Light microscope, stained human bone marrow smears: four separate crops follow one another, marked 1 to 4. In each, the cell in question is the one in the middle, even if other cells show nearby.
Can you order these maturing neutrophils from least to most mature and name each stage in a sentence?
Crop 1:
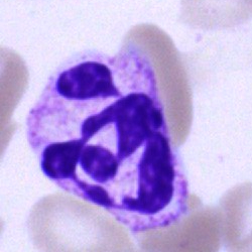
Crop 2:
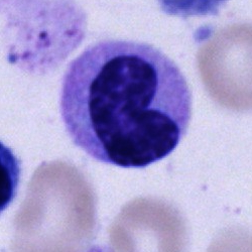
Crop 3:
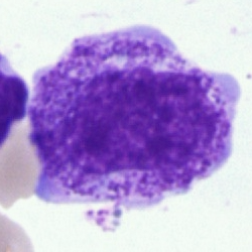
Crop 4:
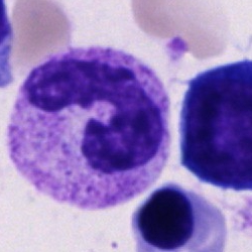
The maturation order, from least to most mature, is crop 3 (a myelocyte), crop 2 (a metamyelocyte), crop 4 (a band neutrophil) and crop 1 (a segmented neutrophil).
